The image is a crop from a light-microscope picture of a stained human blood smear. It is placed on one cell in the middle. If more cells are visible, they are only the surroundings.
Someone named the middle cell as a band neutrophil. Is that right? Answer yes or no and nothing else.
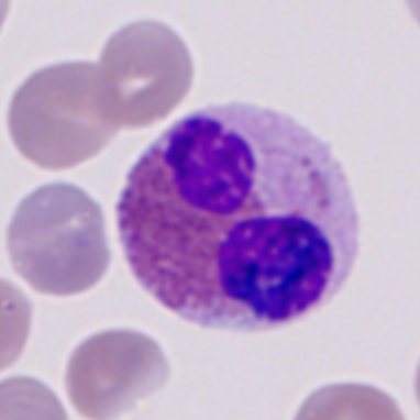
no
